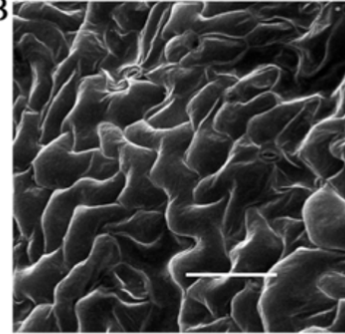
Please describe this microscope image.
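The image shows the surface of a leaf epidermis made of epidermal cells seen from above in a scanning electron micrograph. The cells have irregular, wavy outlines with lobes that interlock with those of their neighbours like puzzle pieces. A few small oval structures are scattered among the larger lobed cells. The cells fit together into one continuous layer without spaces between them.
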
